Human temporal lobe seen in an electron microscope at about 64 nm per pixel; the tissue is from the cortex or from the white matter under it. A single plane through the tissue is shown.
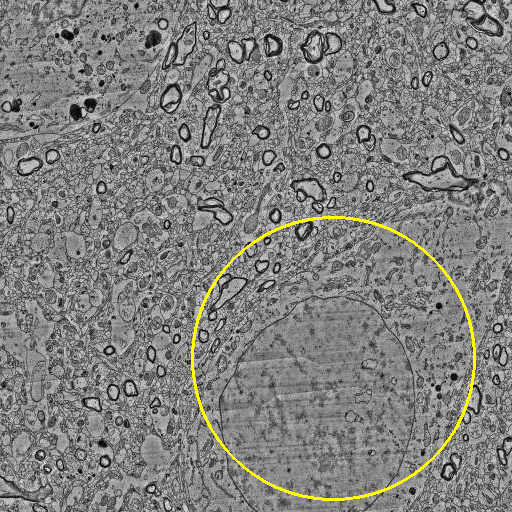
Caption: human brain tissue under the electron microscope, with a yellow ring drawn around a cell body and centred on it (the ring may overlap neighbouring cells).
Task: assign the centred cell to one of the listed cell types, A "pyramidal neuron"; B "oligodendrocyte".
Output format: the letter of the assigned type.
A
